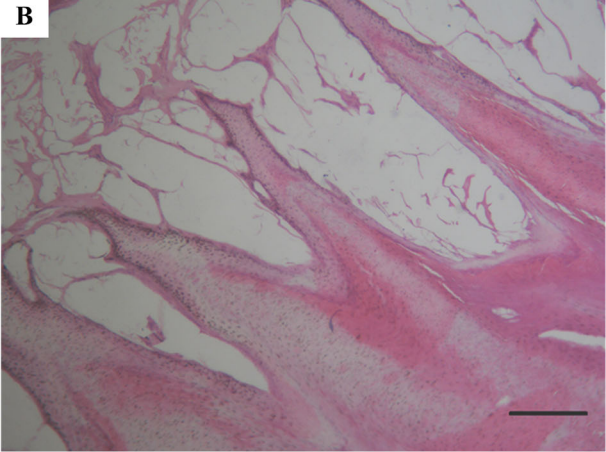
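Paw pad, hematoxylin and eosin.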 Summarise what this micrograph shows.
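The epithelium is pink and many cells thick, with small dark nuclei densely packed along the ridges and becoming sparser toward the more eosinophilic surface layers. Above the ridges lies a loose, pale connective tissue with thin pink strands and large clear spaces.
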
